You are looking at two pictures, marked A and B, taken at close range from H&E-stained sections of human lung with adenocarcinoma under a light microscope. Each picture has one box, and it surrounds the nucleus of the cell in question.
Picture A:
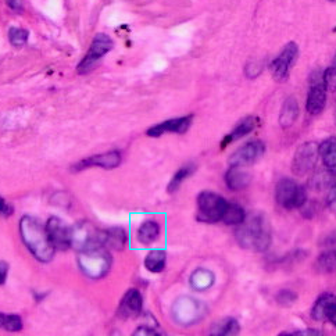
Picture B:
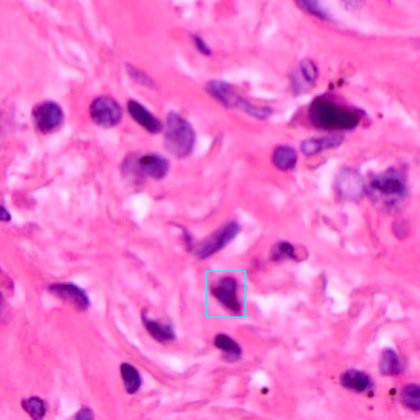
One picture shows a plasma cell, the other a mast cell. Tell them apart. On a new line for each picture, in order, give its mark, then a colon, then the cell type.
A: mast cell
B: plasma cell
